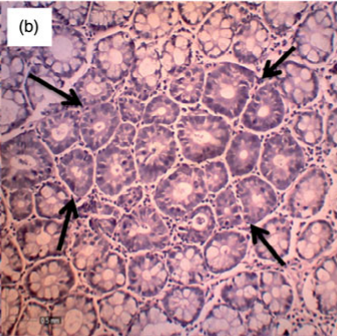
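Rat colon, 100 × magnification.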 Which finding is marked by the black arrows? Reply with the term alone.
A: Aberrant crypt foci.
